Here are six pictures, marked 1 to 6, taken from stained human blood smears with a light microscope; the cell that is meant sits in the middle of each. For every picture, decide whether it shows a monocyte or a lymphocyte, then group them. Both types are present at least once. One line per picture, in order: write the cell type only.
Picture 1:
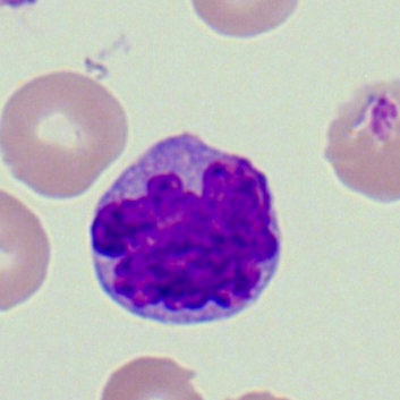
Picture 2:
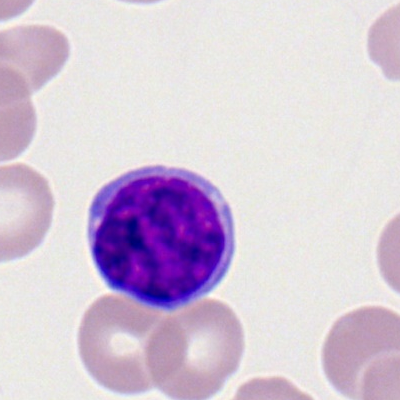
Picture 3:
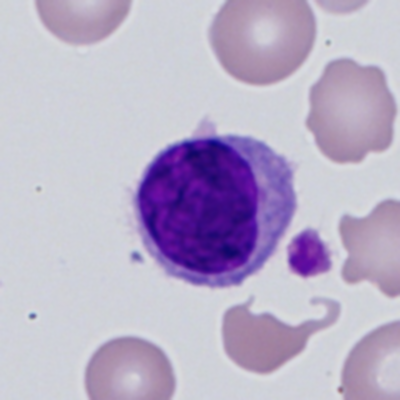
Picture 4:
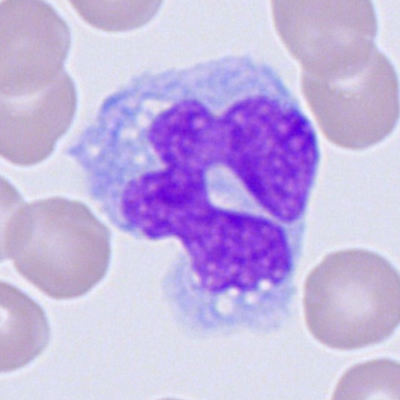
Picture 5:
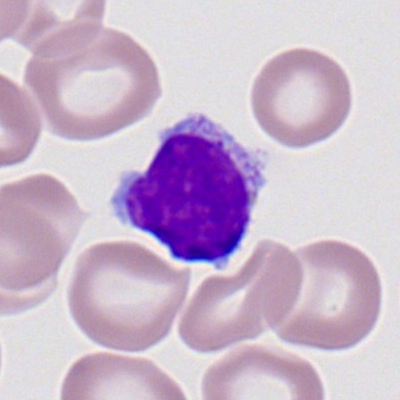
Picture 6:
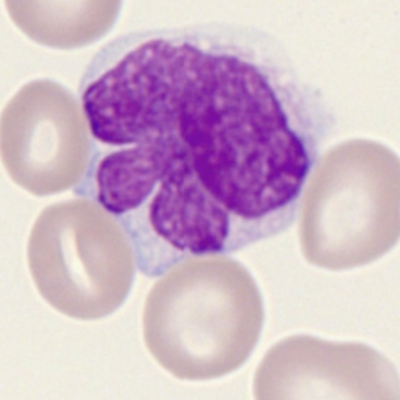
monocyte
lymphocyte
lymphocyte
monocyte
lymphocyte
monocyte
